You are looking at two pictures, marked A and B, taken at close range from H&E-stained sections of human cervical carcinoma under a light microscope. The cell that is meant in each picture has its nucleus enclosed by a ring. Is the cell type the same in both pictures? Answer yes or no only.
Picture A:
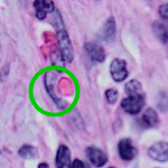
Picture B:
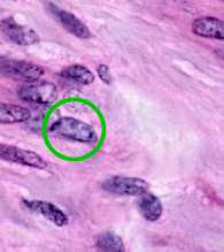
yes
